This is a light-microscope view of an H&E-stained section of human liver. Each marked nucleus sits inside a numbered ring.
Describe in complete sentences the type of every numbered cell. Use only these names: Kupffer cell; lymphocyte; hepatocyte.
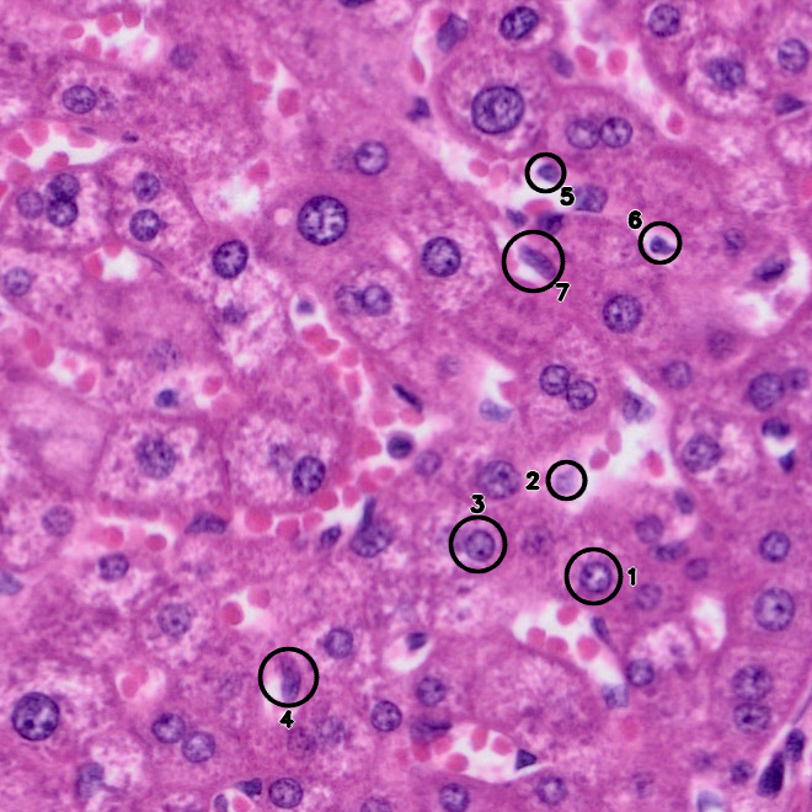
Cell 1 is a hepatocyte, cell 2 is a Kupffer cell, cell 3 is a hepatocyte, cell 4 is a Kupffer cell, cell 5 is a lymphocyte, cell 6 is a lymphocyte and cell 7 is a Kupffer cell.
